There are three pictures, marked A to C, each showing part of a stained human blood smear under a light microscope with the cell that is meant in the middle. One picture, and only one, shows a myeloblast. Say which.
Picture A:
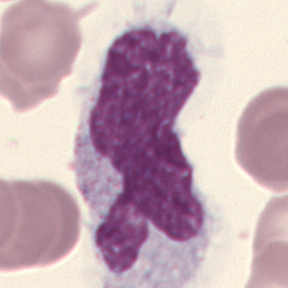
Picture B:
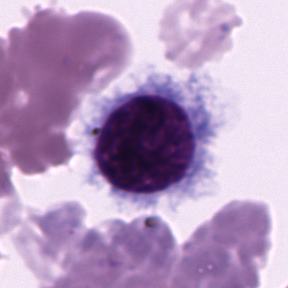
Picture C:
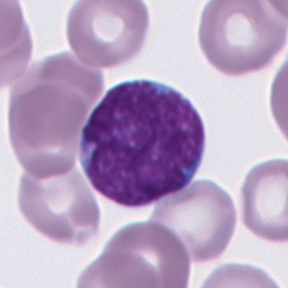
C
